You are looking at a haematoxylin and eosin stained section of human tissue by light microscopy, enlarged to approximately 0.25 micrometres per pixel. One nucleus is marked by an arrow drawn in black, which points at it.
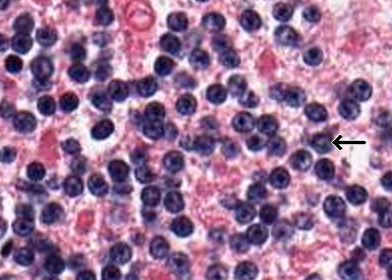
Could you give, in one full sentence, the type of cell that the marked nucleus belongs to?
Indicated by the mark is a nucleus that belongs to a cerebellar granule cell.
